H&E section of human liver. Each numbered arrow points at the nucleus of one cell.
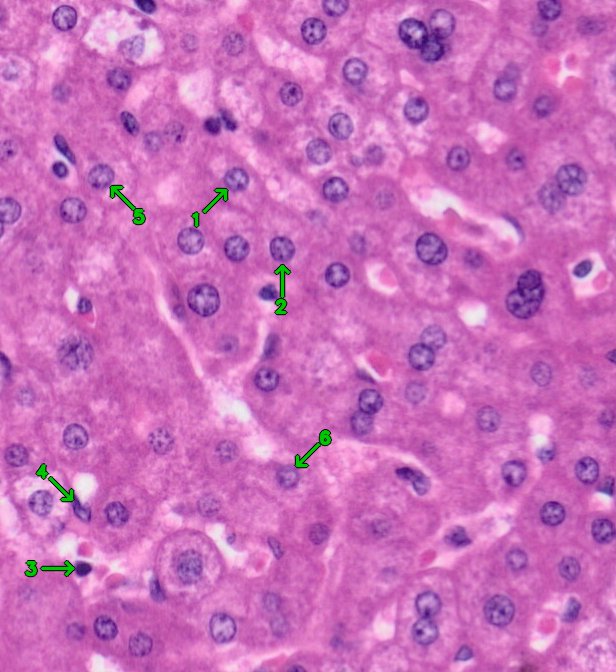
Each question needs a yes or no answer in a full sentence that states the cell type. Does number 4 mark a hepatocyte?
No, number 4 is assigned to an endothelial cell, not to a hepatocyte.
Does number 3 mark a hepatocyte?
No, the cell under number 3 is a lymphocyte instead of a hepatocyte.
